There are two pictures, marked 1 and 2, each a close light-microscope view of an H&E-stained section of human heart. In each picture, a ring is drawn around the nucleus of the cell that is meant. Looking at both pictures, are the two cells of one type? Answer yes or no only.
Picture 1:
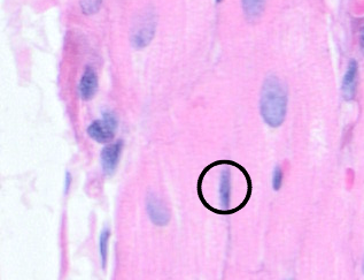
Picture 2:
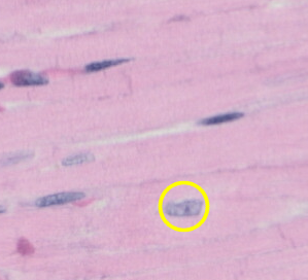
no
